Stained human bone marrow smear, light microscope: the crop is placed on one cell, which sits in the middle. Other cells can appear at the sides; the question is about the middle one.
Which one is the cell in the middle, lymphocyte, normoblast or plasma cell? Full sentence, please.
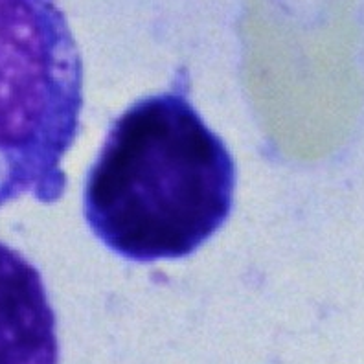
Of the cells in this crop, the central one is a lymphocyte.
